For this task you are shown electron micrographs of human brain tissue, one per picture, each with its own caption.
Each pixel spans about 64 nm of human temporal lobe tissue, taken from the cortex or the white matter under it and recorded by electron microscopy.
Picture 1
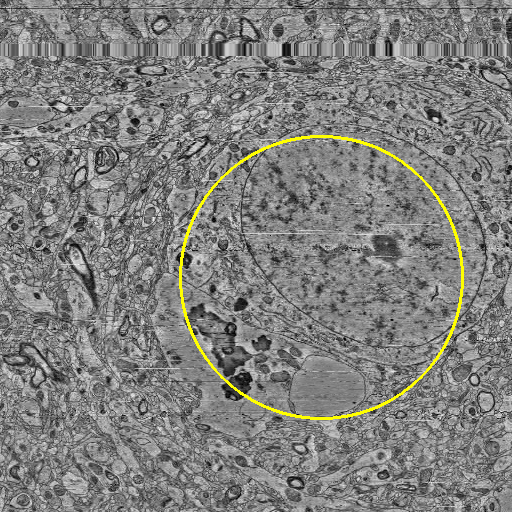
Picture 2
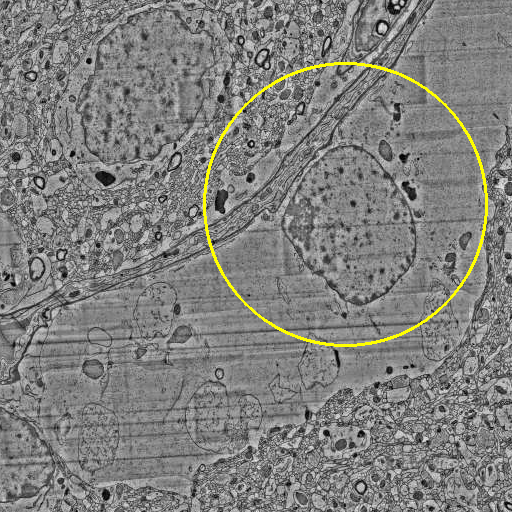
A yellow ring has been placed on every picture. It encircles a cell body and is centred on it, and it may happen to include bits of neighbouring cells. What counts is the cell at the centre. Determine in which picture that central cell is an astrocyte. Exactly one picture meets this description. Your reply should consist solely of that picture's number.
2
